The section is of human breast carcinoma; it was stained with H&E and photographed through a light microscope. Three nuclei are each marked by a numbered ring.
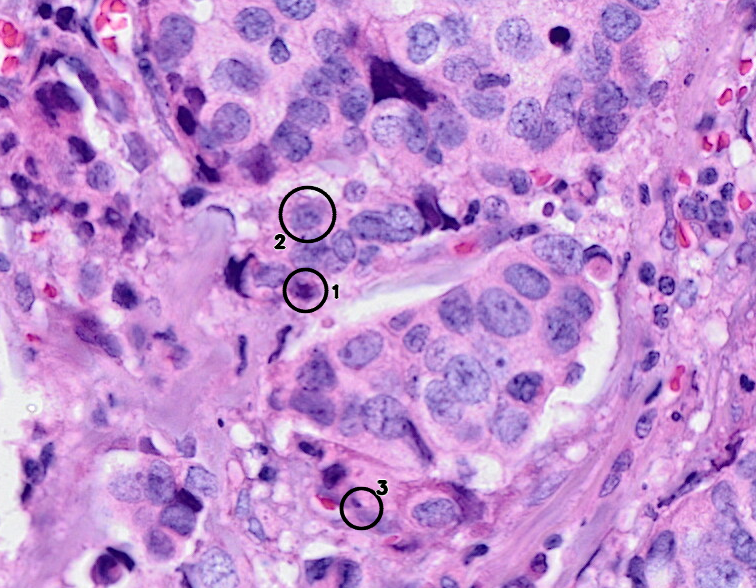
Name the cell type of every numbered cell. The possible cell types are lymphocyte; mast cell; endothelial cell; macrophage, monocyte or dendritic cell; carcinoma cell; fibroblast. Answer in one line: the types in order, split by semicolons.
carcinoma cell; carcinoma cell; endothelial cell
